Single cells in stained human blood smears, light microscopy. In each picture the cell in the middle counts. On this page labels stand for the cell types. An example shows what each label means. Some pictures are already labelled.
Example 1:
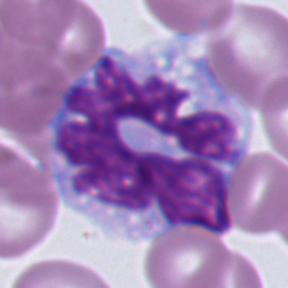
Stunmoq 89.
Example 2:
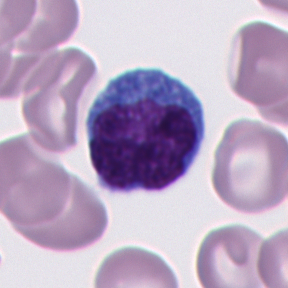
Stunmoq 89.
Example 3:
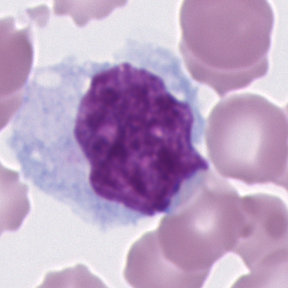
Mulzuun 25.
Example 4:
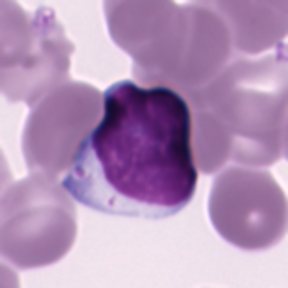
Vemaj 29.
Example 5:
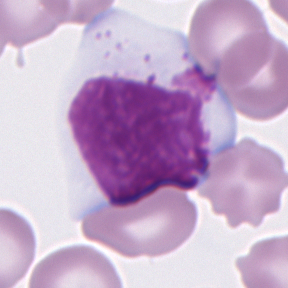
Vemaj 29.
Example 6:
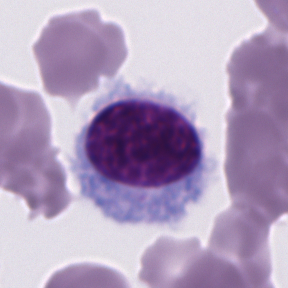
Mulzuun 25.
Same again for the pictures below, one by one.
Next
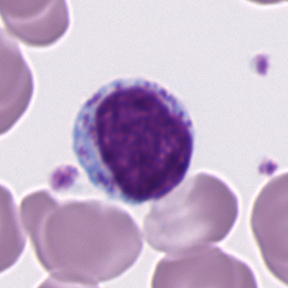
Vemaj 29.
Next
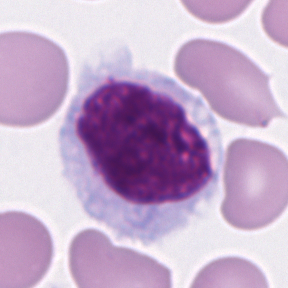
Mulzuun 25.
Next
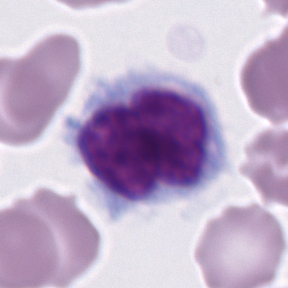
Mulzuun 25.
